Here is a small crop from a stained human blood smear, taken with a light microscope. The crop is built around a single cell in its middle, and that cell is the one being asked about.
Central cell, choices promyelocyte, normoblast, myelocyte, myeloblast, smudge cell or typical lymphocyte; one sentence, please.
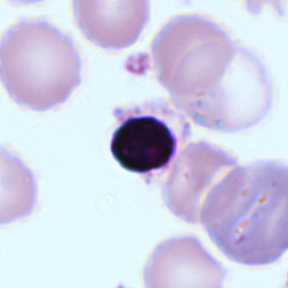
The cell occupying the middle of the crop is a normoblast.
